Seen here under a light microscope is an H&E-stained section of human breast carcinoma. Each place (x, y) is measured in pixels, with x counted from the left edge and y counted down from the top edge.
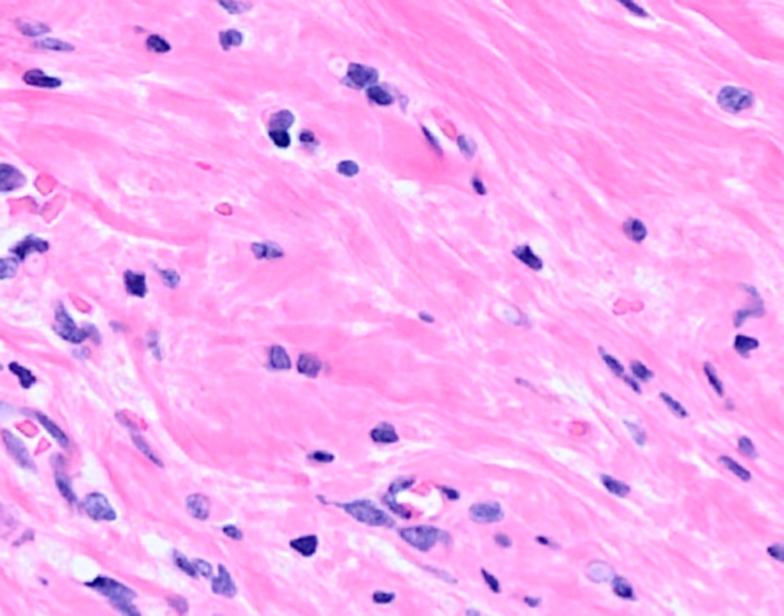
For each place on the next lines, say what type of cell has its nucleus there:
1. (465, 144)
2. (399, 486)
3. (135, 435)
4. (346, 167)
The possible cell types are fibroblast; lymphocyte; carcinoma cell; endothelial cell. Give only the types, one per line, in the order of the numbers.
endothelial cell
endothelial cell
fibroblast
lymphocyte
